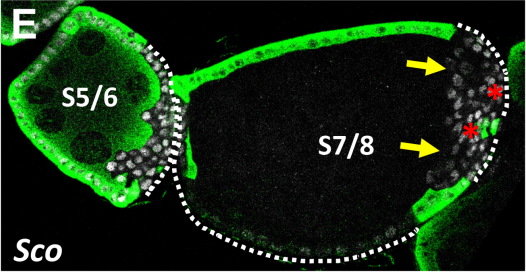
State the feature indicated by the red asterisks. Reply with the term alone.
outer layers of ectopic follicle cells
